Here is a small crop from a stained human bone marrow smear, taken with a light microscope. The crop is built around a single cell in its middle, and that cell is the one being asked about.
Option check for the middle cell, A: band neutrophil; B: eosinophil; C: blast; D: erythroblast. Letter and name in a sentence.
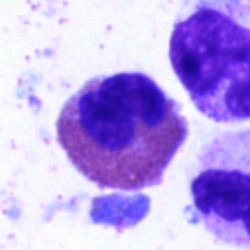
Option B is right, the centrally situated cell being an eosinophil.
